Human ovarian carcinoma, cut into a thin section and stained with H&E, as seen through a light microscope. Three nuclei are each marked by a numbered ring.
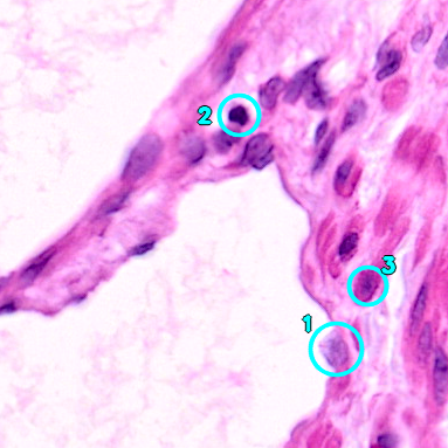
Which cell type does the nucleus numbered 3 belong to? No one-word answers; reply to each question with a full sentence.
Identified by the number 3, the cell is a smooth muscle cell.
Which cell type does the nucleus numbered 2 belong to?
Among the marked nuclei, number 2 belongs to a lymphocyte.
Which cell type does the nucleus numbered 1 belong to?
The numeral 1 marks an endothelial cell in this section.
